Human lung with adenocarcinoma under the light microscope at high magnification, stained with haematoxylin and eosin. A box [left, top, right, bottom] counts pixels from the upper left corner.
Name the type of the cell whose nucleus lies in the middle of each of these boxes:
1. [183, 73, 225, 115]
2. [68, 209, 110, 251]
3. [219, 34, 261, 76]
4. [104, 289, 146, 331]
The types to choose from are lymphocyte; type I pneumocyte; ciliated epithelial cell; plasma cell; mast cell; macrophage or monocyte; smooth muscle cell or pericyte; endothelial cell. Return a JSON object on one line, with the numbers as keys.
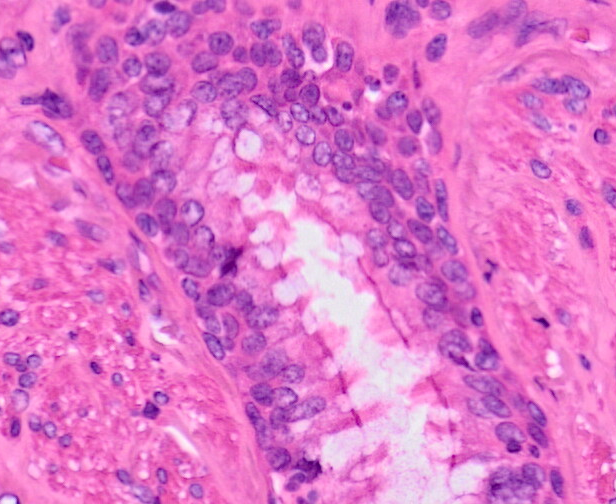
{"1": "ciliated epithelial cell", "2": "smooth muscle cell or pericyte", "3": "ciliated epithelial cell", "4": "smooth muscle cell or pericyte"}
